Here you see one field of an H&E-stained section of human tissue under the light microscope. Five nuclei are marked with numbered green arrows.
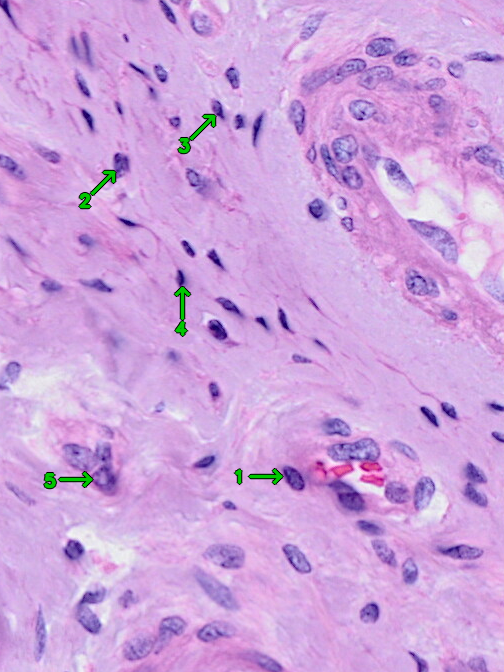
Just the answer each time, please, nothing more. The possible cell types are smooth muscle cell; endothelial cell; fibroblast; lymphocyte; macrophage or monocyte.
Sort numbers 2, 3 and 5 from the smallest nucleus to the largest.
3, 2, 5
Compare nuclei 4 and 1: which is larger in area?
1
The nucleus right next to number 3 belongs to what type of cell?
fibroblast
